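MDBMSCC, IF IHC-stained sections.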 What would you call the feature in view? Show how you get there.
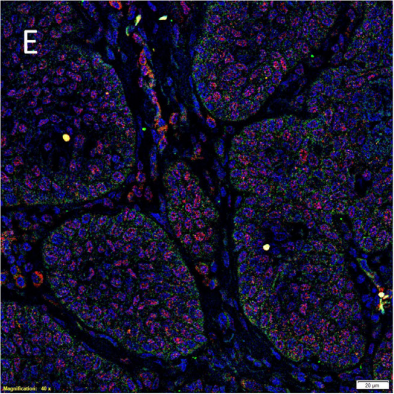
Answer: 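Rounded islands of tightly packed cells with large nuclei. The islands are separated by dark bands of sparse stroma.
Hence: tumor nests.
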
